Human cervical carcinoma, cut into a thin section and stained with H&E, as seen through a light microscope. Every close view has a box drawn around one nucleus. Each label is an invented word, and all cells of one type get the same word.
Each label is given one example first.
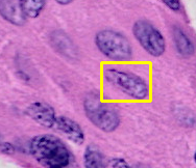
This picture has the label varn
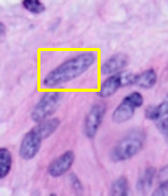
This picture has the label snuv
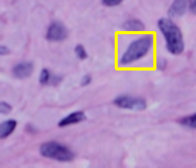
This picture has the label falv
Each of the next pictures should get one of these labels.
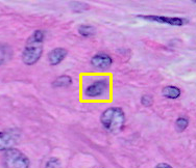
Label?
snuv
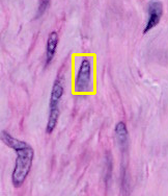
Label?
snuv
